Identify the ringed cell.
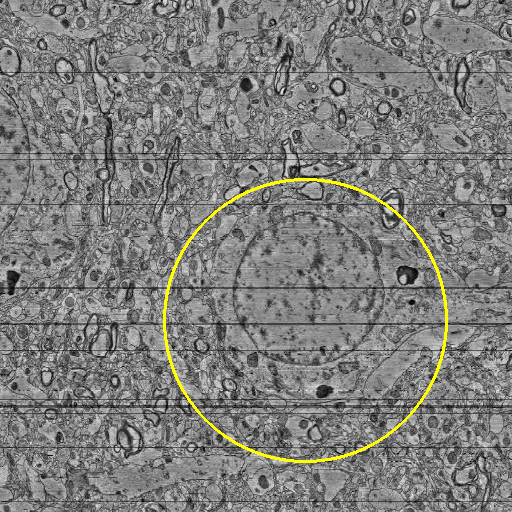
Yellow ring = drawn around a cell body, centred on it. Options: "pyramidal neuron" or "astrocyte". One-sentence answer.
What the ring is centred on is a pyramidal neuron.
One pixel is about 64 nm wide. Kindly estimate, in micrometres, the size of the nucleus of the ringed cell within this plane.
About 10 micrometres across, as seen in this plane.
